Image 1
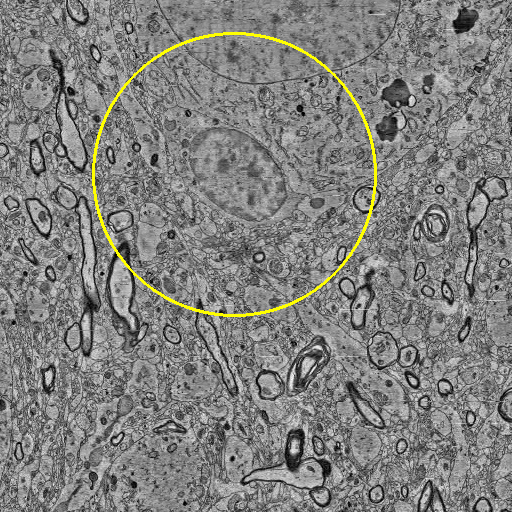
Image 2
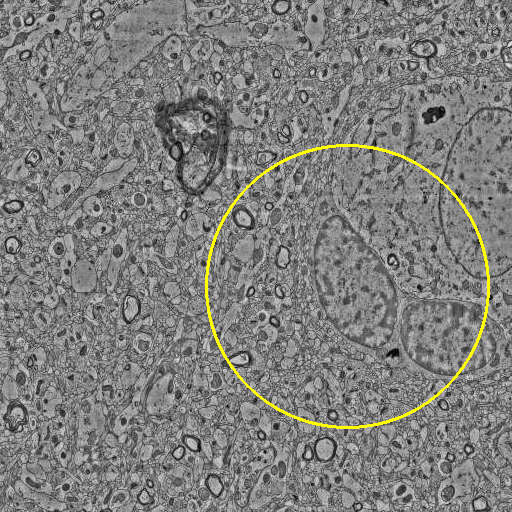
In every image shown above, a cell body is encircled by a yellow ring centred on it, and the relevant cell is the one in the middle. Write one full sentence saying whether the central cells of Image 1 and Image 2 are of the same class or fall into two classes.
The cell at the ring's centre in Image 1 and its counterpart in Image 2 are of the same class.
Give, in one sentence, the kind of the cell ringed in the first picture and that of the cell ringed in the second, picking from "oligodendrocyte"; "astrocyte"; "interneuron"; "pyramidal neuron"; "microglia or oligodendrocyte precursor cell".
Both cells are the same kind, each one being an oligodendrocyte.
